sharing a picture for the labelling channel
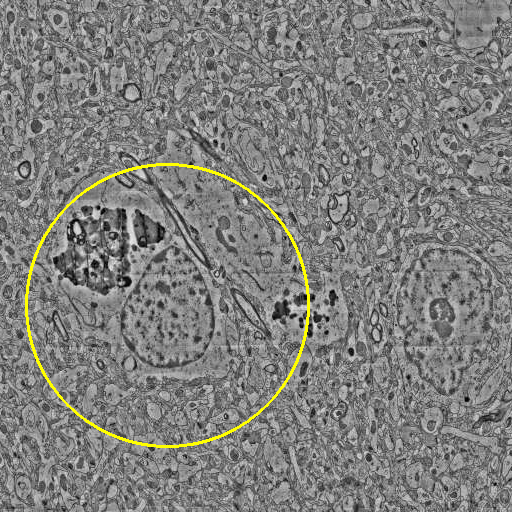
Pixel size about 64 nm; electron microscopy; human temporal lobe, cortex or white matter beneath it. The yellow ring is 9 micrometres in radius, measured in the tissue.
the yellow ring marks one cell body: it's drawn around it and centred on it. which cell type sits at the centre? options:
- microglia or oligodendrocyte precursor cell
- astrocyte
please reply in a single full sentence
In the picture, the cell at the ring's centre is an astrocyte, going by the list.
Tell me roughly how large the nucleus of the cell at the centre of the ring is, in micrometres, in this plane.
The ringed cell's nucleus measures approximately 8 by 6 micrometres in this plane.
